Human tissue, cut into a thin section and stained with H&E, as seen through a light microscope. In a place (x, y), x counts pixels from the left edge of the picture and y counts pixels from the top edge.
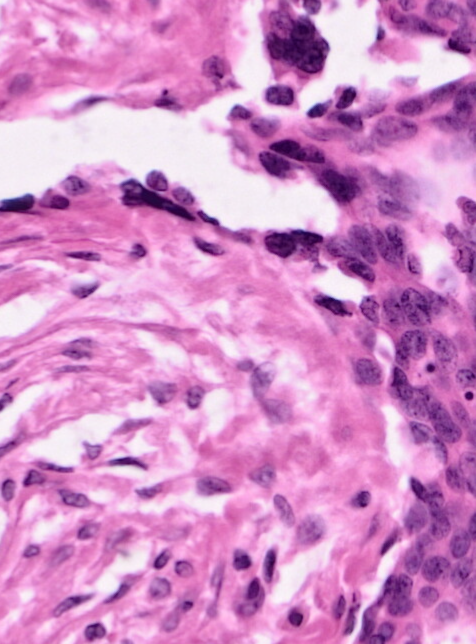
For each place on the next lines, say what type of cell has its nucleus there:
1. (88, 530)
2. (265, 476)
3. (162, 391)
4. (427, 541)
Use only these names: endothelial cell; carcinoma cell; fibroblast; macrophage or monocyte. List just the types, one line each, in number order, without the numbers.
fibroblast
fibroblast
fibroblast
carcinoma cell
